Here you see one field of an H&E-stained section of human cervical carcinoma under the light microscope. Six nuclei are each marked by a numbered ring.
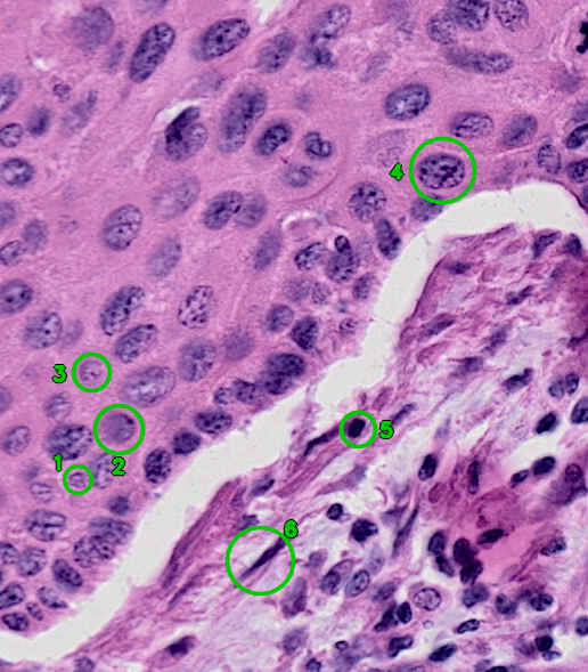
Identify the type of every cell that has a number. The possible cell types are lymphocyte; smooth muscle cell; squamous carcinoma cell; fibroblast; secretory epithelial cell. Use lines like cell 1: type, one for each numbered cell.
cell 1: squamous carcinoma cell
cell 2: squamous carcinoma cell
cell 3: squamous carcinoma cell
cell 4: squamous carcinoma cell
cell 5: lymphocyte
cell 6: fibroblast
